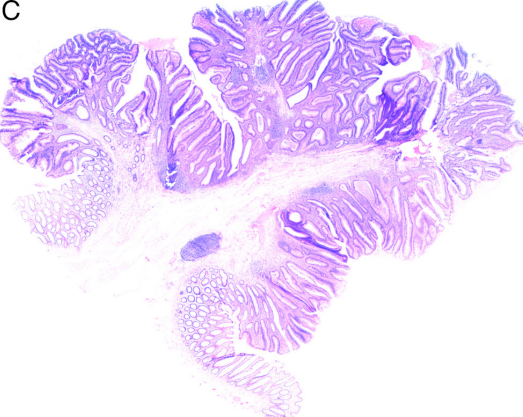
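This is a pedunculated polyp of the colon built of crowded, elongated tubules of dysplastic epithelium. A pale pink fibrovascular stalk runs up the middle of the lesion. At the lower edge, paler, regular round crypts of the adjacent mucosa are seen for comparison.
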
